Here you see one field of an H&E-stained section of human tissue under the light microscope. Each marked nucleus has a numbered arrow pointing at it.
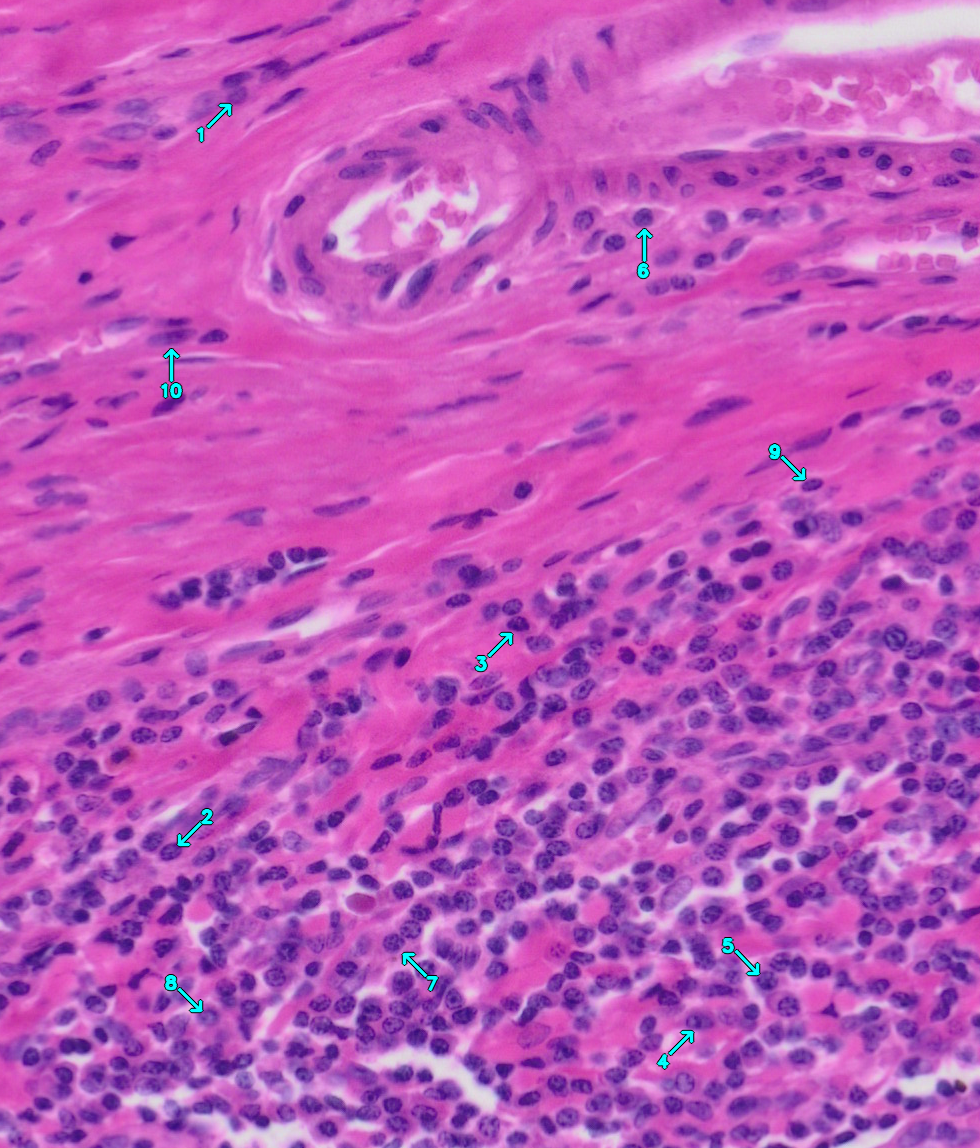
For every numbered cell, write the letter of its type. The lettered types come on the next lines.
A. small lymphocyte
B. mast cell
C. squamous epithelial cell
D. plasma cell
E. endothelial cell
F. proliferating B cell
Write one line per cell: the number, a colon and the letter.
1: E
2: D
3: D
4: D
5: D
6: B
7: D
8: D
9: B
10: E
